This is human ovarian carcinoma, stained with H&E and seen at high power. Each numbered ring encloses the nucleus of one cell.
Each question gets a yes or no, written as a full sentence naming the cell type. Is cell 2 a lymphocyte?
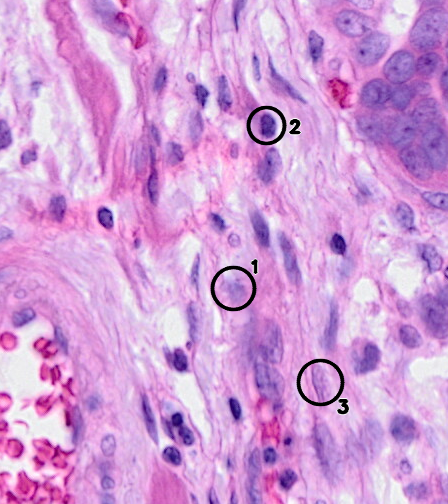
Yes, the cell sitting at number 2 is a lymphocyte.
